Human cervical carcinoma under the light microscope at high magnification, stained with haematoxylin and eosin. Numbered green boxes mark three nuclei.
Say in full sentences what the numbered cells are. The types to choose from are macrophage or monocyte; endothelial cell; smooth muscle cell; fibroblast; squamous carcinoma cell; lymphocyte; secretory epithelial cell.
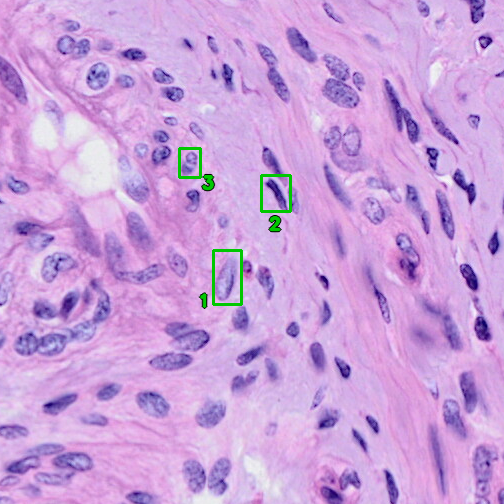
Cell 1 is a smooth muscle cell, cell 2 is a fibroblast and cell 3 is a smooth muscle cell.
